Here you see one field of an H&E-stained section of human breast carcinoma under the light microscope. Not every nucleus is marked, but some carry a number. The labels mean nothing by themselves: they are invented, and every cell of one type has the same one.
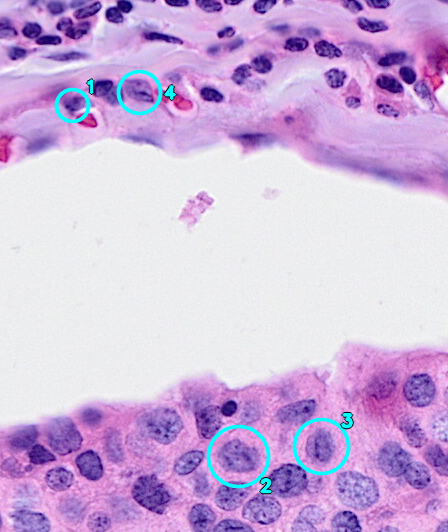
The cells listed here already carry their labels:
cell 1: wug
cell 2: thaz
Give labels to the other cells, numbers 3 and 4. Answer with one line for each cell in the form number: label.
3: thaz
4: wug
